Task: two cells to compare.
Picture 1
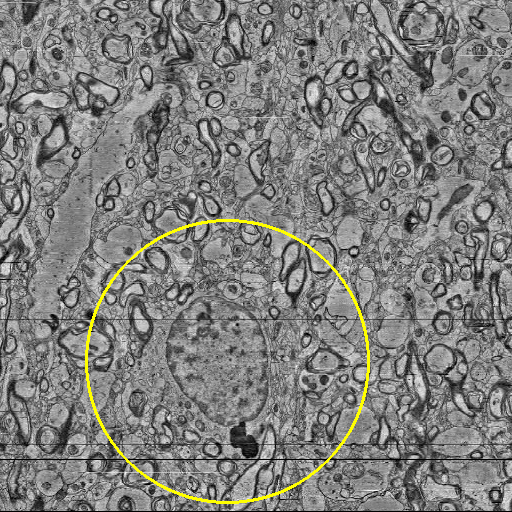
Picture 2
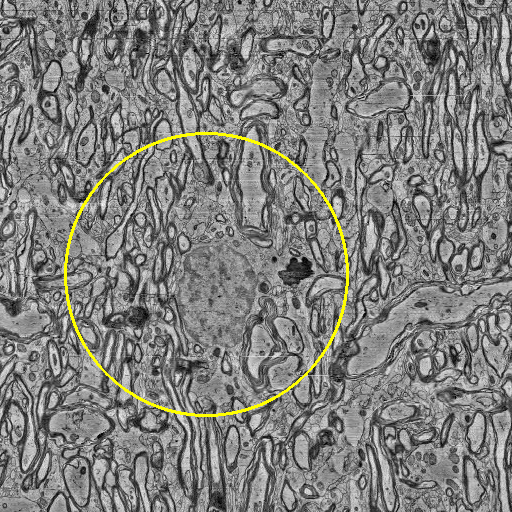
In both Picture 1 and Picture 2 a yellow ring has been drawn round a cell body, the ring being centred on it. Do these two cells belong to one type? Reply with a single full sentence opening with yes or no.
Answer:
Yes, the two cells at the ring centres in Picture 1 and Picture 2 share one type.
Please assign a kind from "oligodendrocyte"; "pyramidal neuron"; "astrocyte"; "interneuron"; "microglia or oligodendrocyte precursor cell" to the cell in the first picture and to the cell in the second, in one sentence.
Both cells are the same kind, each one being an oligodendrocyte.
